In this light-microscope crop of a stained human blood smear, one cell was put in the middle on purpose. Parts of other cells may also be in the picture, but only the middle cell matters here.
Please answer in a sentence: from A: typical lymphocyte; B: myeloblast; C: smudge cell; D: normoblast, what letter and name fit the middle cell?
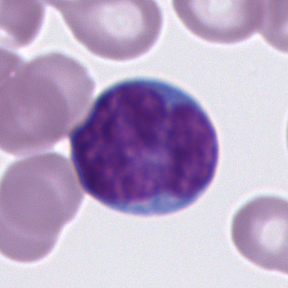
The cell placed in the middle is a myeloblast; option B is correct.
